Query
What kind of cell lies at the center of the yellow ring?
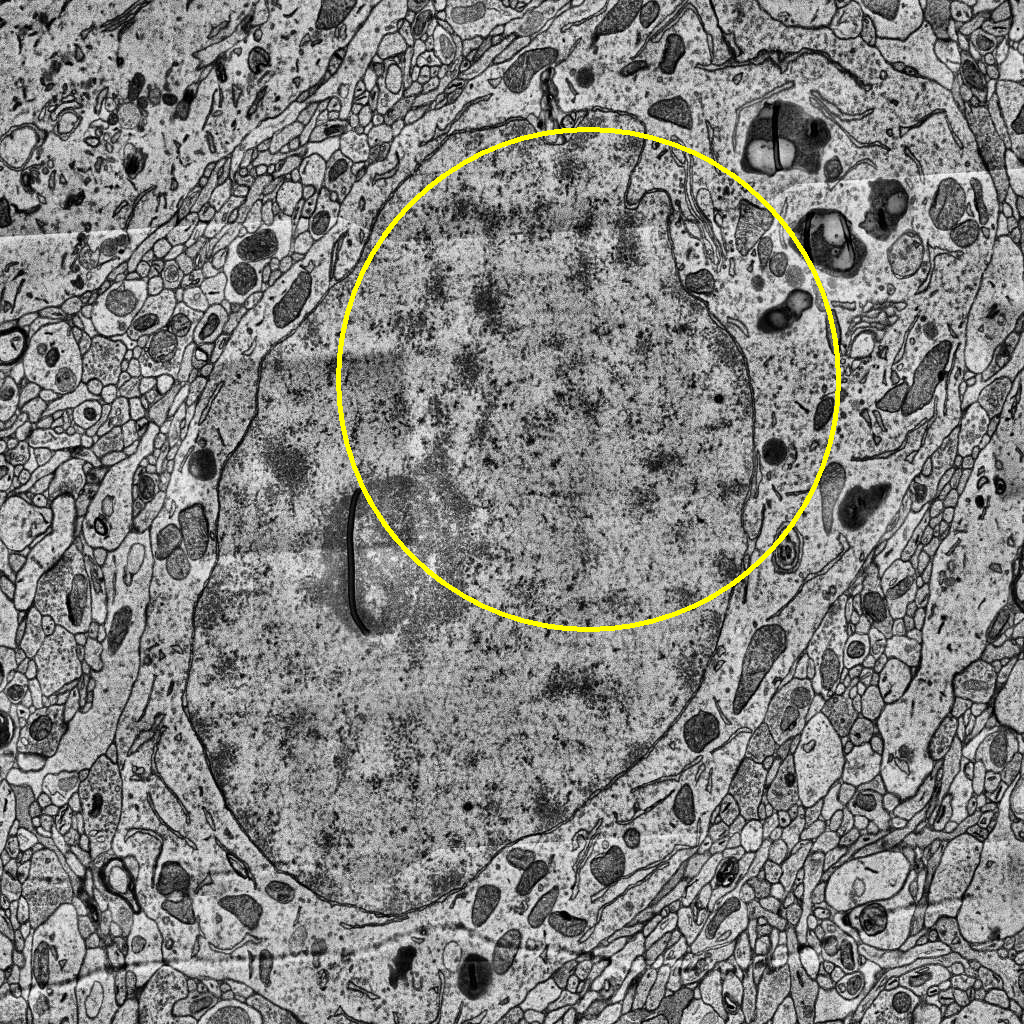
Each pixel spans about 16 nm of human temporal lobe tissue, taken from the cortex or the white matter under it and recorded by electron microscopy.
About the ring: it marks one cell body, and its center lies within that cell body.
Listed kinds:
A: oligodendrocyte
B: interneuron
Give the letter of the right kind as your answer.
B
